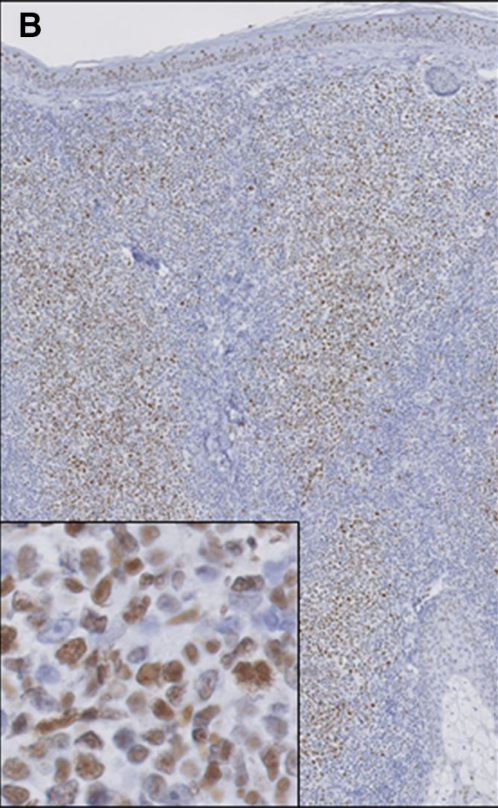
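This is skin with nodular dermal infiltrates of large centrocytes, whose nuclei stain brown. The dermis below holds large nodules where brown-stained nuclei crowd together. Between the nodules, bluish stroma holds fewer stained cells. At high magnification many large, irregular, sometimes cleaved nuclei are brown, with varying intensity. Smaller cells with blue nuclei are mixed in among them. The cytoplasm is scant and unstained.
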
